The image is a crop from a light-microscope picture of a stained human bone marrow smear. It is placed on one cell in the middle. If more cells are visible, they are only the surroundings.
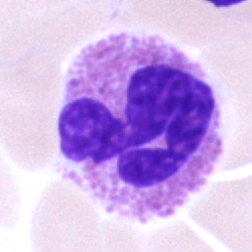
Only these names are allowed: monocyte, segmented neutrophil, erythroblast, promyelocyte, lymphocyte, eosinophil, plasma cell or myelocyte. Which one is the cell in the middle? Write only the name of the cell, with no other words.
eosinophil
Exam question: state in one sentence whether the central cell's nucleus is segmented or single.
Its nucleus is lobed, with at least two separate segments.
